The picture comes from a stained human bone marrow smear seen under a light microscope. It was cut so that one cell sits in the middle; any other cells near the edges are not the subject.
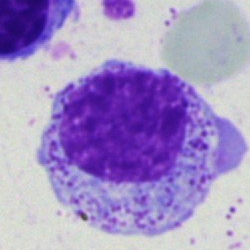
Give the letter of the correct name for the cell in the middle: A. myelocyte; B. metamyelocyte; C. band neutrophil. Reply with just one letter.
A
